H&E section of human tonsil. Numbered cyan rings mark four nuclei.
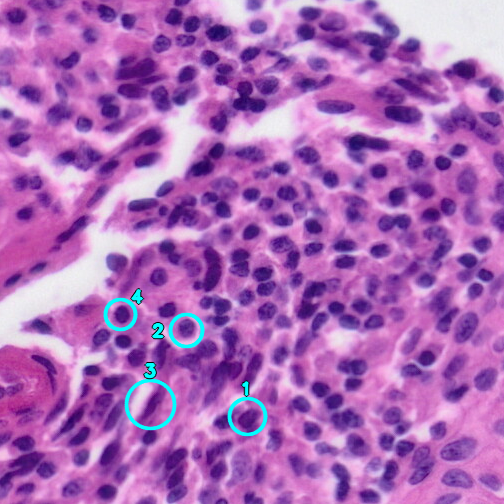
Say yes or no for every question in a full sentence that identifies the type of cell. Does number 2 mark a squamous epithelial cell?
No, cell number 2 is a plasma cell; it is not a squamous epithelial cell.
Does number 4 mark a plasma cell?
Yes, the cell given number 4 is a plasma cell.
